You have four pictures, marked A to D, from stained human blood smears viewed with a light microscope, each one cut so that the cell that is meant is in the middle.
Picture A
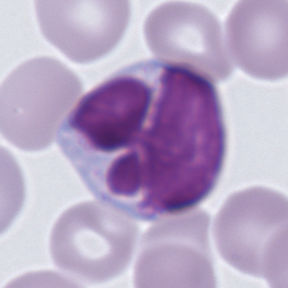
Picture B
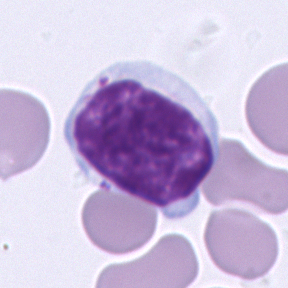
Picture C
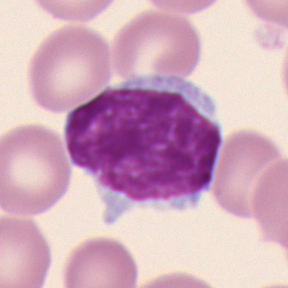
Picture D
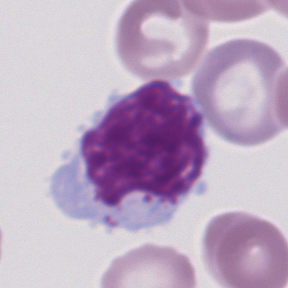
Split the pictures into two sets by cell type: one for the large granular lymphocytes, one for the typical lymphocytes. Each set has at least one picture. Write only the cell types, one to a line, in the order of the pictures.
large granular lymphocyte
large granular lymphocyte
typical lymphocyte
large granular lymphocyte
